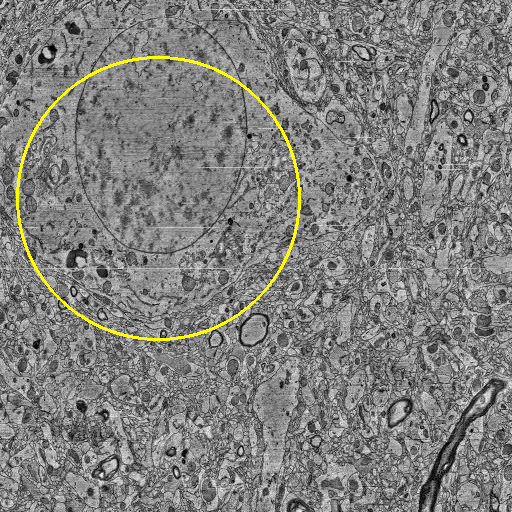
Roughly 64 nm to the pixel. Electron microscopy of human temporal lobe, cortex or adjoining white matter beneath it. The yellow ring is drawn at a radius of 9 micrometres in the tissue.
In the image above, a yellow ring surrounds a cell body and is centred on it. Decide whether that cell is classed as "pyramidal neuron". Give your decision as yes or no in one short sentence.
Yes, it is classed as that kind.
